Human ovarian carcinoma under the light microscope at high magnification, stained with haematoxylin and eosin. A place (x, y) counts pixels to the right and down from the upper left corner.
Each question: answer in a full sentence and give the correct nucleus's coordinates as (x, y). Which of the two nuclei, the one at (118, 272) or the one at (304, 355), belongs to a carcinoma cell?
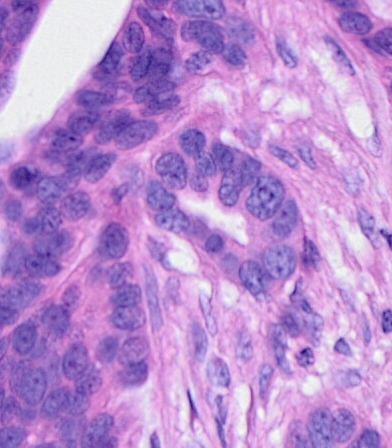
The nucleus whose position is (118, 272) belongs to a carcinoma cell.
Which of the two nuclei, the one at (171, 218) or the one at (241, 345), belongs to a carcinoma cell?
Of the two nuclei, the nucleus belonging to a carcinoma cell is located at (171, 218).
